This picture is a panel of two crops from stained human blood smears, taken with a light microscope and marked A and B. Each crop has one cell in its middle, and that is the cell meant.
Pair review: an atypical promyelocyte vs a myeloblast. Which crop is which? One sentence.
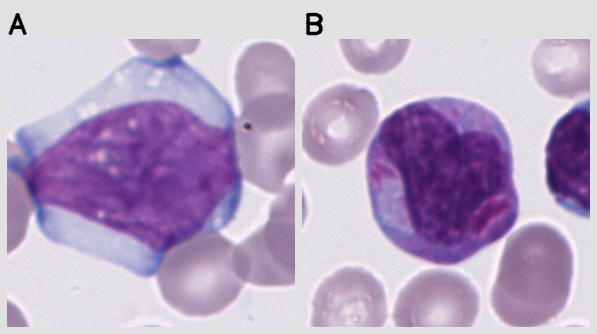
Crop A should be reported as a myeloblast, and crop B as an atypical promyelocyte.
